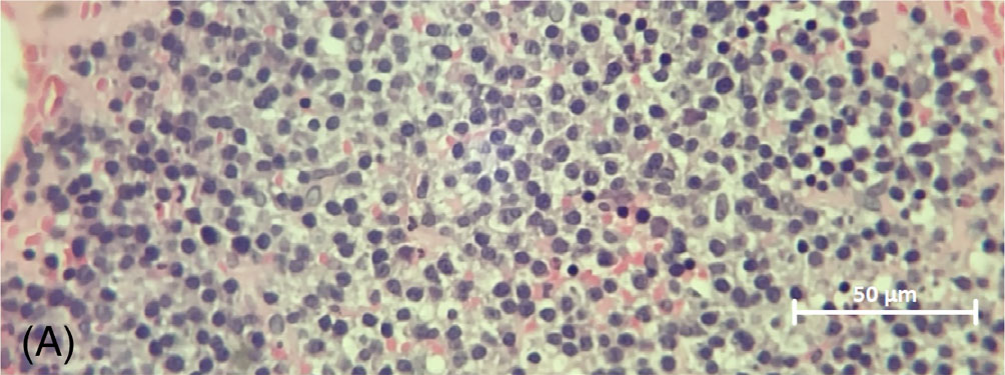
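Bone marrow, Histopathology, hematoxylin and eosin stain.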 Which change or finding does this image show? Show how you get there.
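Uniform round cells lie side by side in a continuous mass. Little intervening stroma or fat separates them. On this evidence: sheets.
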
